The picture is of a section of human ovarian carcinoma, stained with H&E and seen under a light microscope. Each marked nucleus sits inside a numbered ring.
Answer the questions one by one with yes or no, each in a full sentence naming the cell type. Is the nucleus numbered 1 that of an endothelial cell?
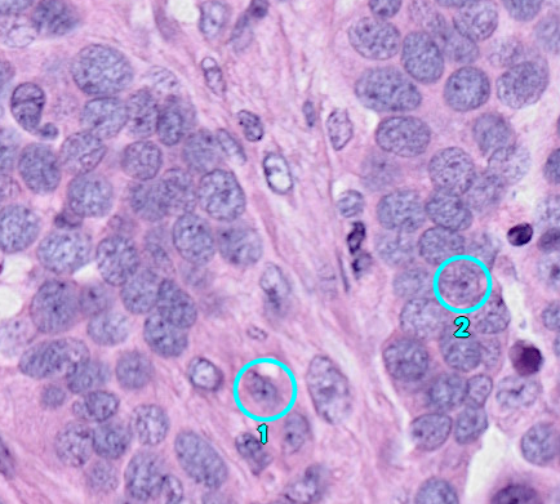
Yes, the cell that has number 1 is an endothelial cell.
